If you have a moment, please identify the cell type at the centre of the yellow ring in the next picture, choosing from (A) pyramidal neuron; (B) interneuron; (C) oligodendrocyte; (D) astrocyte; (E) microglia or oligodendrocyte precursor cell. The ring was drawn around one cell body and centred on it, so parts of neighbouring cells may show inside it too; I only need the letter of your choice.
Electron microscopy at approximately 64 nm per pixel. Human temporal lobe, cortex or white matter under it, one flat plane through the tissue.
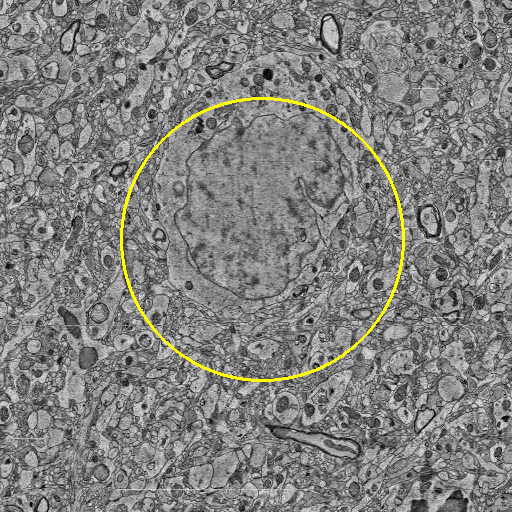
B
